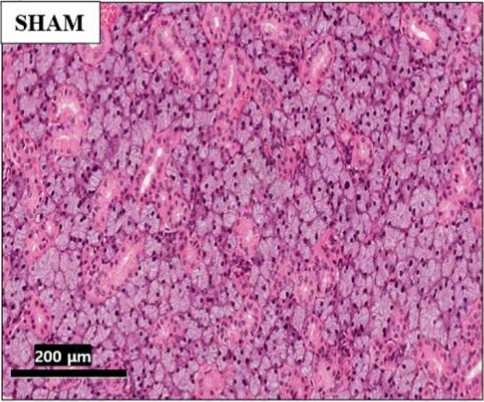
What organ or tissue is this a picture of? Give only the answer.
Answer: submandibular gland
